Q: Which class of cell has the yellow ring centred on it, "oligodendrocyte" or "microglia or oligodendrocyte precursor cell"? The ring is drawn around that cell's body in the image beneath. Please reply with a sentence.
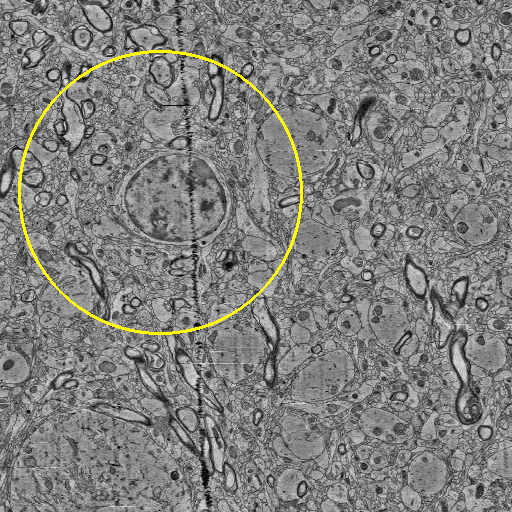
It is centred on a microglial cell or oligodendrocyte precursor cell.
